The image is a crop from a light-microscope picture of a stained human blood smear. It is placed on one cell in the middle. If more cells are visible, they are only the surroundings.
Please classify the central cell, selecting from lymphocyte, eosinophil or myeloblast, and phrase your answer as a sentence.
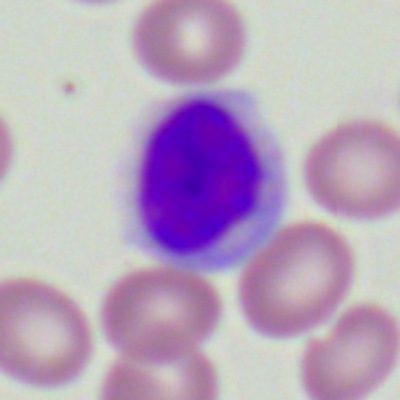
In short, the cell at the center is a lymphocyte.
